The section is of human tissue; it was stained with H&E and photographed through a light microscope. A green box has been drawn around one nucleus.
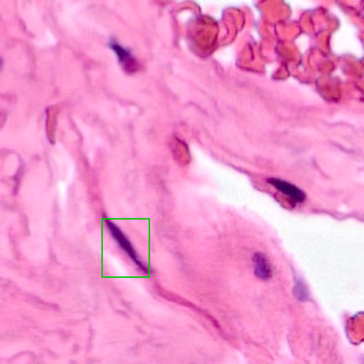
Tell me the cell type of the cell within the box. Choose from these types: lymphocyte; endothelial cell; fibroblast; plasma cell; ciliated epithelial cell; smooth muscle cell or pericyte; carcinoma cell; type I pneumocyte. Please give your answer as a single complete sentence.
The cell type of the cell within the box is that of an endothelial cell.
